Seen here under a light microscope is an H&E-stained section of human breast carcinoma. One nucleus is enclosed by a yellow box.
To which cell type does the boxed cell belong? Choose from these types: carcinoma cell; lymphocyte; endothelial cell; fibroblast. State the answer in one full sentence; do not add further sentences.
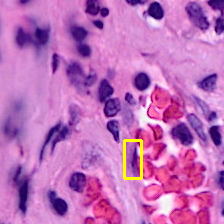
For cell typing purposes, the boxed cell is an endothelial cell.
